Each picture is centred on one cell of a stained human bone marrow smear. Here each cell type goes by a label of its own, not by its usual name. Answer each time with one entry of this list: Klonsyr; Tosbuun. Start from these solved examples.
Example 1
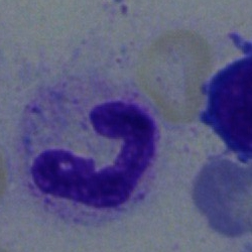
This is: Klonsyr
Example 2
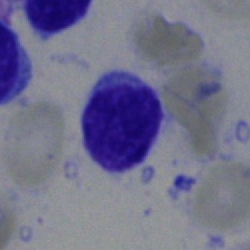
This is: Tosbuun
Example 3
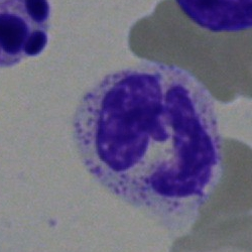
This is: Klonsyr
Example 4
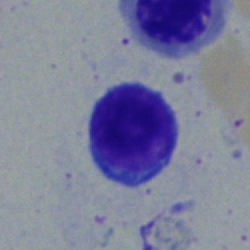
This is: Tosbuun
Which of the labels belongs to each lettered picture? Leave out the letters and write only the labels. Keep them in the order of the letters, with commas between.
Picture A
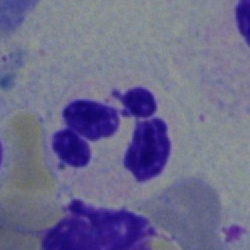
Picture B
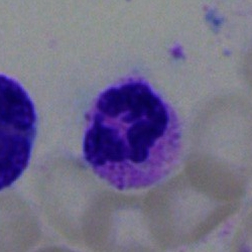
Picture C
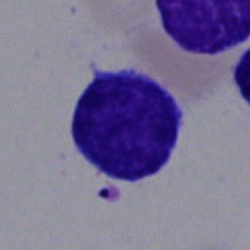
Klonsyr, Klonsyr, Tosbuun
